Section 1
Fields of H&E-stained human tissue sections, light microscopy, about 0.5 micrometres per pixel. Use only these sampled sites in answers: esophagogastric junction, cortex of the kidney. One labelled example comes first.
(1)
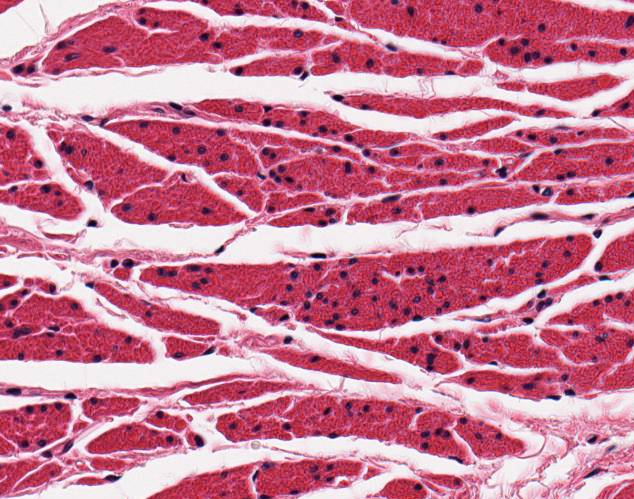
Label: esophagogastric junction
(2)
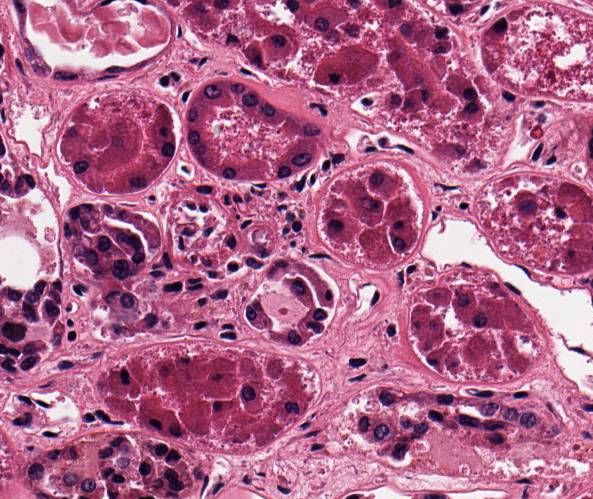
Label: cortex of the kidney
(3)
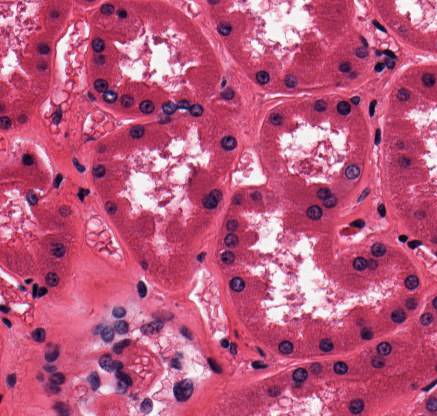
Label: cortex of the kidney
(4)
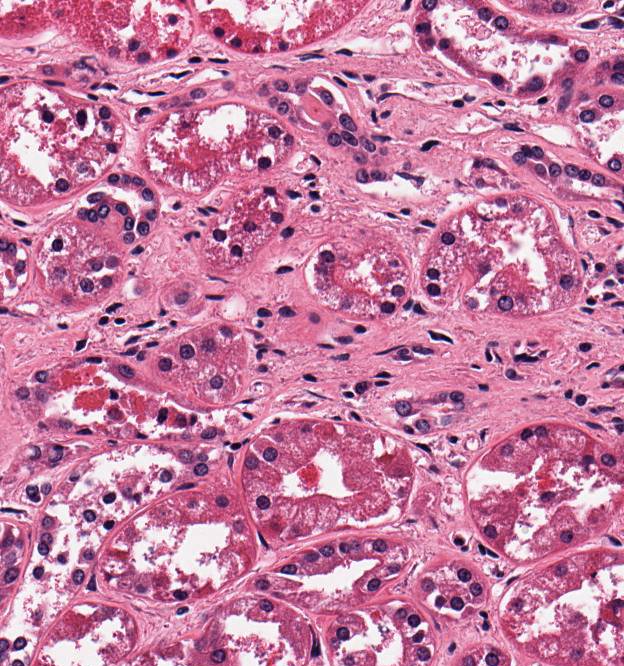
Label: cortex of the kidney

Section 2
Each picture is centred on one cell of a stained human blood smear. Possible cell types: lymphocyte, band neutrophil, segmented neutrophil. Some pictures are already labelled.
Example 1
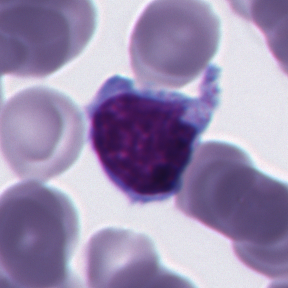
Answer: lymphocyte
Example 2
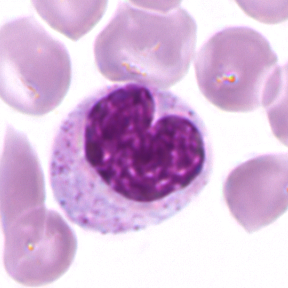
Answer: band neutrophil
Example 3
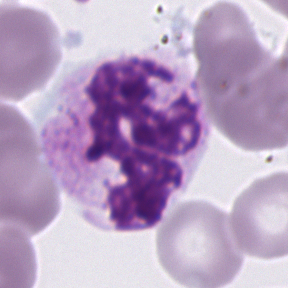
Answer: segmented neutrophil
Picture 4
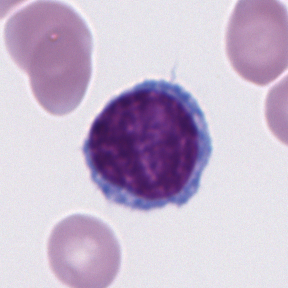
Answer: lymphocyte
